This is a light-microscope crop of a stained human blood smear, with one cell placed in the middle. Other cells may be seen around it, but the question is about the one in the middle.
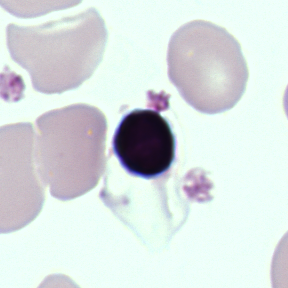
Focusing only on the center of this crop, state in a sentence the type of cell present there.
The cell shown in the center of this light-microscope crop is an erythroblast.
